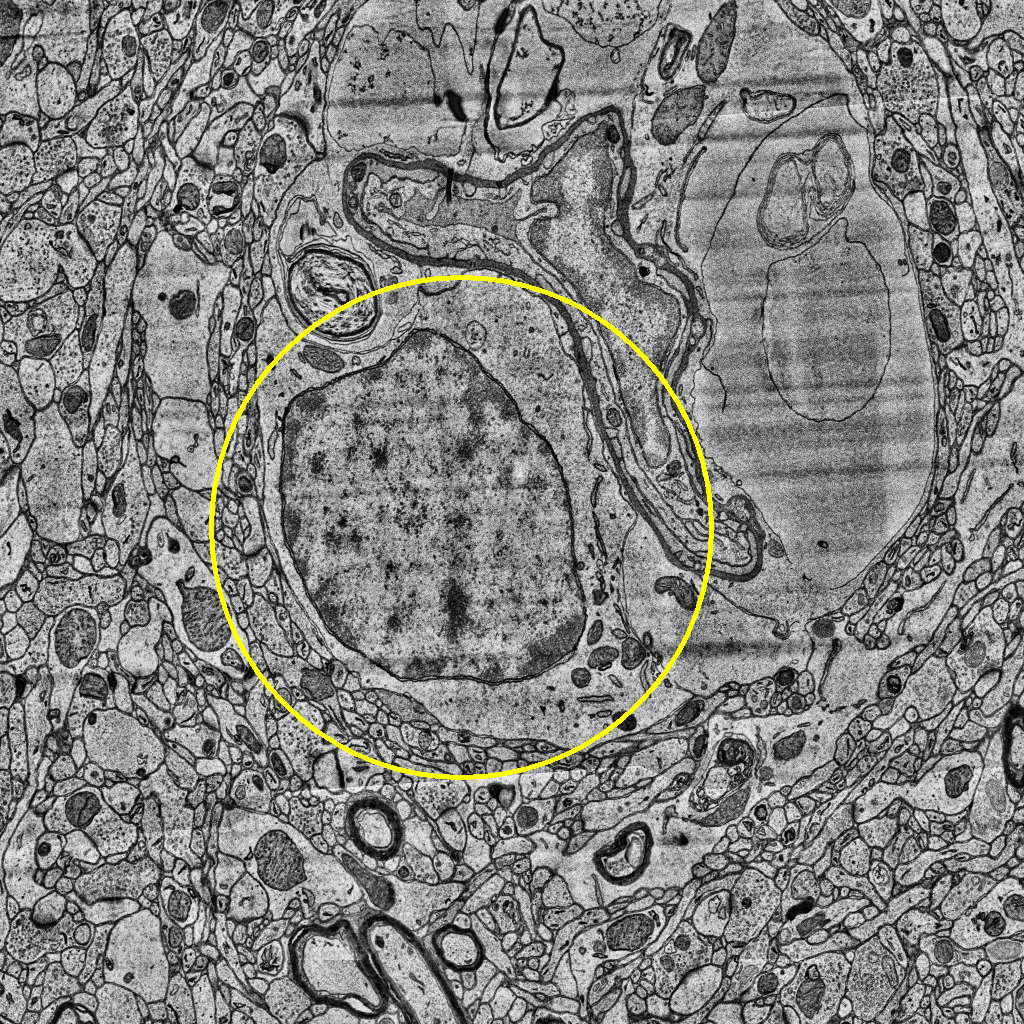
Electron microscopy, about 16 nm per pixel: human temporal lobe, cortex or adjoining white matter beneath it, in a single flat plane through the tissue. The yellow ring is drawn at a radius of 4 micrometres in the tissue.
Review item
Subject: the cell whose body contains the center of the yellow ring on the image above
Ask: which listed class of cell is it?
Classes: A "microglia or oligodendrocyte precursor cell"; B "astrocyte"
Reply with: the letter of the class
A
